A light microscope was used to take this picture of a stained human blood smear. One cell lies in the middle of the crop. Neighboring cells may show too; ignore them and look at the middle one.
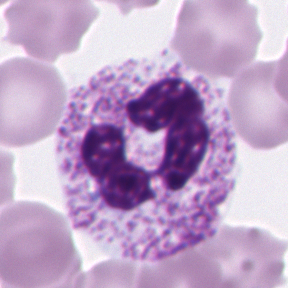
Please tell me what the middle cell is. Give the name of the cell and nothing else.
segmented neutrophil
